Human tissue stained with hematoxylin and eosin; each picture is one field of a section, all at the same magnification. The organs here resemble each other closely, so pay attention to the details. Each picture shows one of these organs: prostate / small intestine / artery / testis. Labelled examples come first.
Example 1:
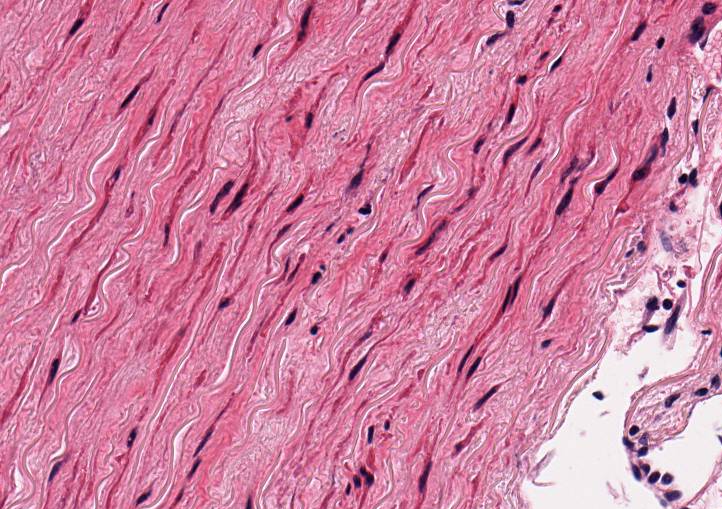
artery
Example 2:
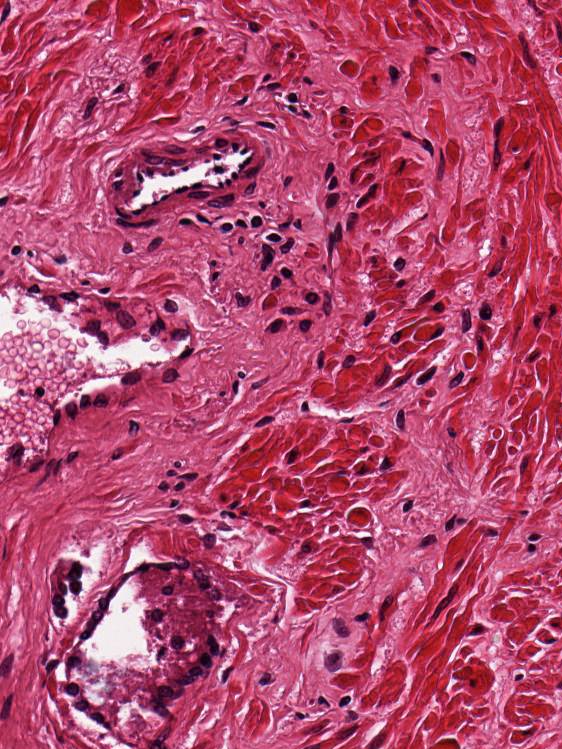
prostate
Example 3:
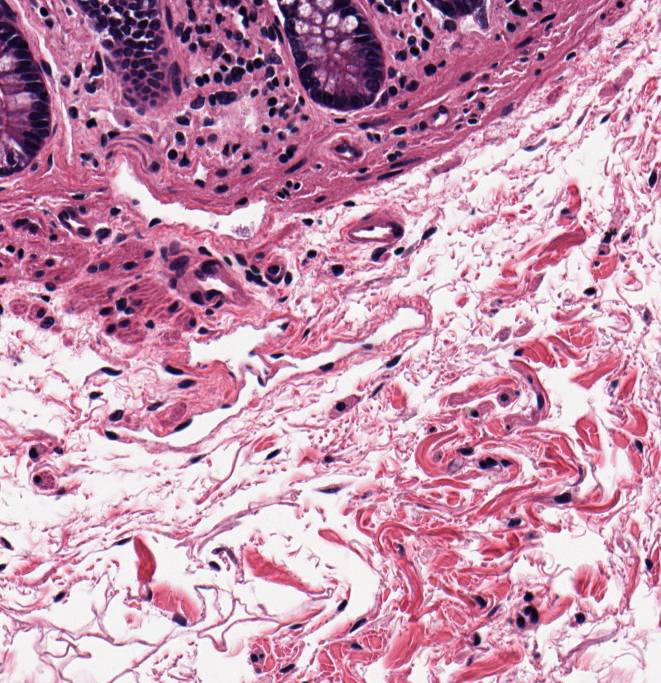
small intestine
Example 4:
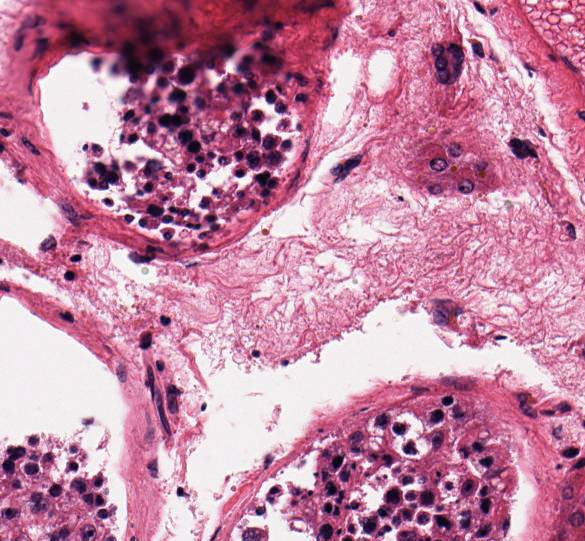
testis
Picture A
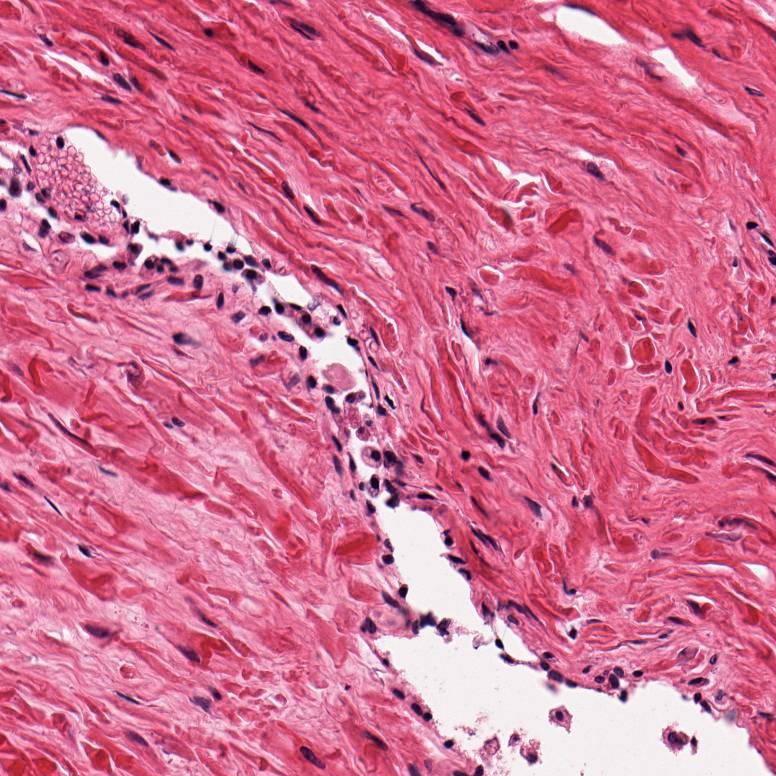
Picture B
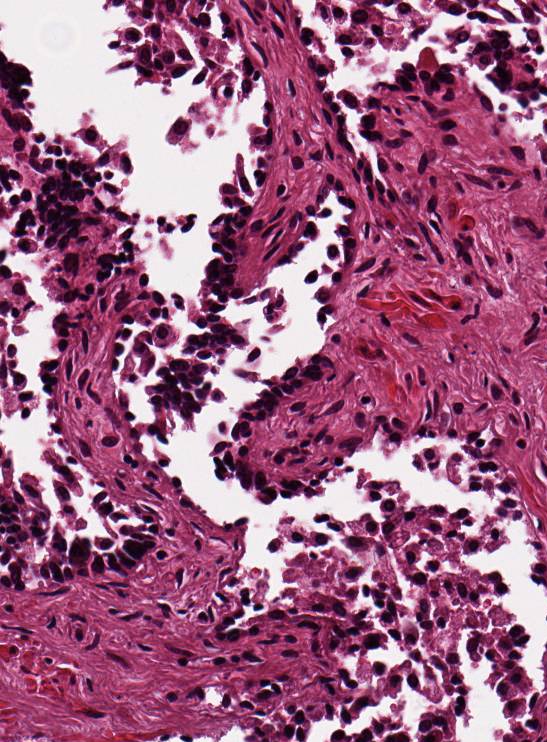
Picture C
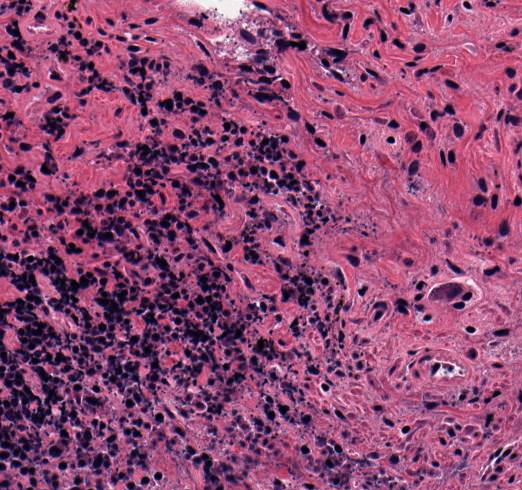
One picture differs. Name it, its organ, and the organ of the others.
C differs and shows small intestine; the others show prostate.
